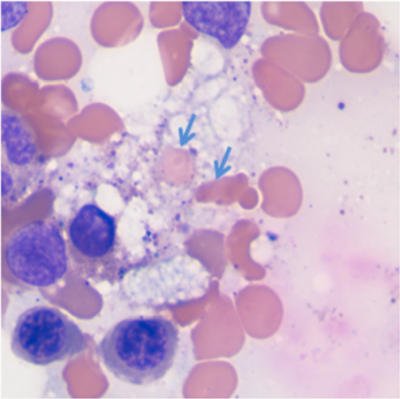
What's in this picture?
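This is a bone marrow smear centred on a large phagocytosing histiocyte surrounded by red blood cells. Its cytoplasm is pale, grey-blue and full of clear vacuoles and fine granules, giving it a foamy look. Smaller marrow cells with dense, deep purple nuclei sit at the edge of the field.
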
